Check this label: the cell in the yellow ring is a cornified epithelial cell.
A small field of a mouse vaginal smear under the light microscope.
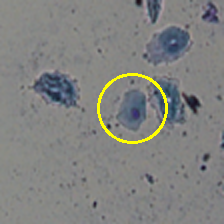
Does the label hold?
The label does not hold; the cell is a nucleated epithelial cell.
